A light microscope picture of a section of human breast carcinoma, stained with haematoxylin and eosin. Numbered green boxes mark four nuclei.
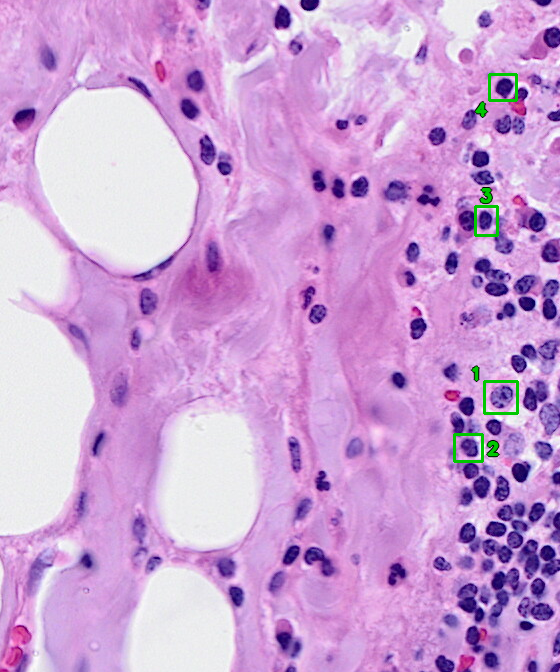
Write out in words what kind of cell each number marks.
Cell 1 is a mast cell, cell 2 is a lymphocyte, cell 3 is a lymphocyte and cell 4 is a lymphocyte.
